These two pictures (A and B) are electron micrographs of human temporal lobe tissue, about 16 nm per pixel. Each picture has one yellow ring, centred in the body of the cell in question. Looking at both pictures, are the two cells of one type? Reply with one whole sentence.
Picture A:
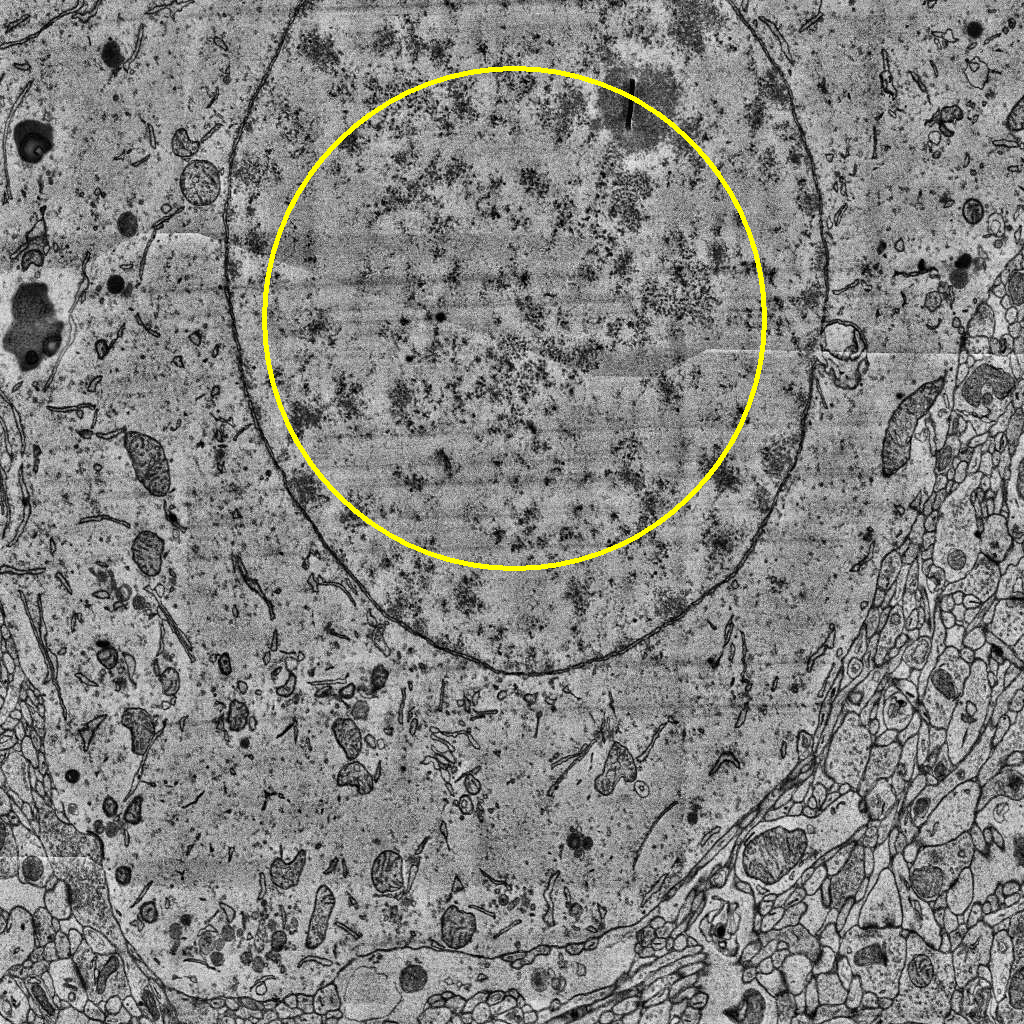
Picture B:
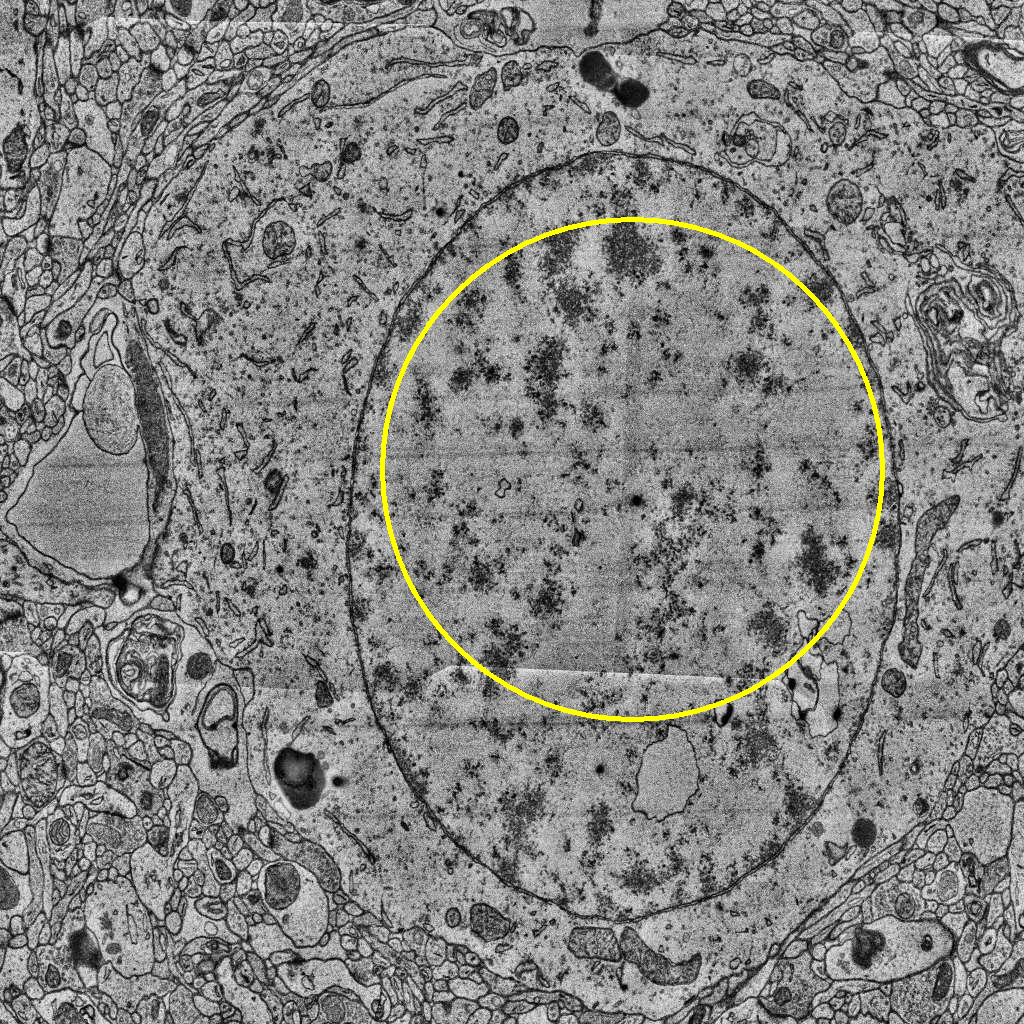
Yes; the cells in both pictures are pyramidal neurons.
